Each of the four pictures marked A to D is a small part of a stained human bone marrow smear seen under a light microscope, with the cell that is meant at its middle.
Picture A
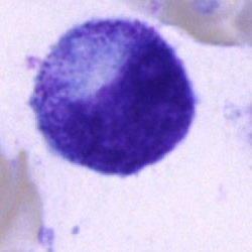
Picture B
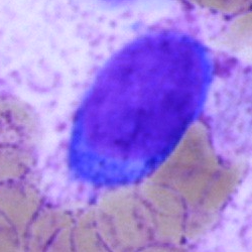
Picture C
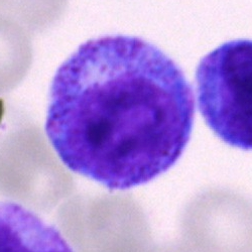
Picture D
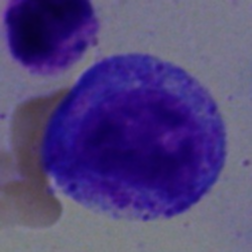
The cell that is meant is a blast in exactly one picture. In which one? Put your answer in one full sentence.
It is picture B that shows the blast.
